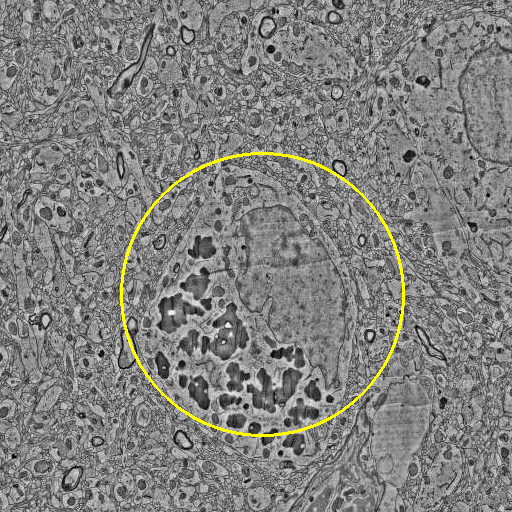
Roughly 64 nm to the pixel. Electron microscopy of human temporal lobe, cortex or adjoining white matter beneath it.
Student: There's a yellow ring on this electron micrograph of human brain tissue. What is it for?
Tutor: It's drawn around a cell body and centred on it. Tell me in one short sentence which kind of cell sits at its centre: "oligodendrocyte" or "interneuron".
The cell at the centre of the ring is an interneuron.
